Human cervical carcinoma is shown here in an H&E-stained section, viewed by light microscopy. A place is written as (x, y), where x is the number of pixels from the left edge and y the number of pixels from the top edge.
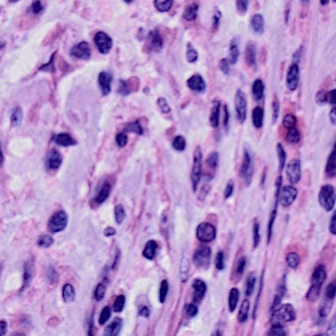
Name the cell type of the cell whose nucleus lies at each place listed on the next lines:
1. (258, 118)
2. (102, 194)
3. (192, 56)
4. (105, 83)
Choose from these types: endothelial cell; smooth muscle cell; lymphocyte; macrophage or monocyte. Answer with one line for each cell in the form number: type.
1: lymphocyte
2: macrophage or monocyte
3: lymphocyte
4: lymphocyte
